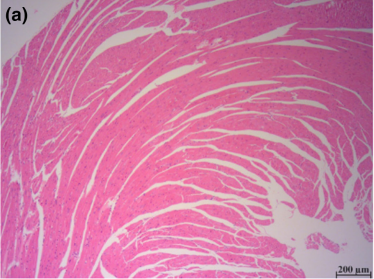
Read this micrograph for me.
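This is heart muscle at low magnification, stained pink with hematoxylin and eosin. The myocardium is made of long eosinophilic muscle fibers that run in broad, gently curving parallel bundles, changing direction across the field as the layers of the ventricular wall do. Small dark purple nuclei are dotted along the fibers. The fibers lie close together, separated only by thin white clefts between bundles, and the overall architecture is continuous and orderly, with few breaks in the fibers.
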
